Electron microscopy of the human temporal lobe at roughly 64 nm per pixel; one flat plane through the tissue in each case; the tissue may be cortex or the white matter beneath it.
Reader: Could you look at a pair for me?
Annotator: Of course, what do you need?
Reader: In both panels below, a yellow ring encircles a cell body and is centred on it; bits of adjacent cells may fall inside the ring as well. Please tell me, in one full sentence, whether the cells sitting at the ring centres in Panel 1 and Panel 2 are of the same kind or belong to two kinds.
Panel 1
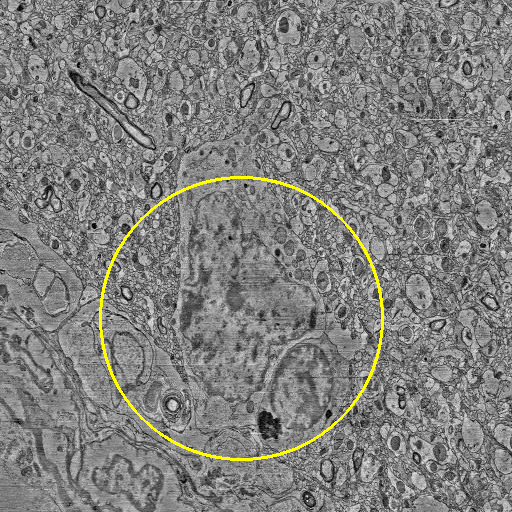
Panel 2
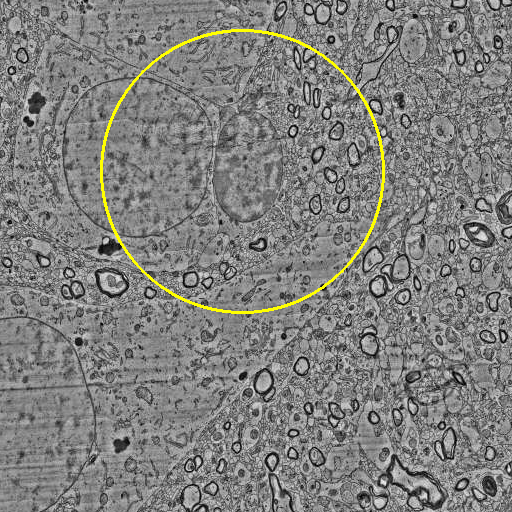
The cell at the ring's centre in Panel 1 and the one in Panel 2 belong to two kinds.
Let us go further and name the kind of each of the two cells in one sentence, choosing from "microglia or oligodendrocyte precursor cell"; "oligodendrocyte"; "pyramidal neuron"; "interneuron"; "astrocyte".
The ring of the first picture is on an interneuron, the ring of the second on an oligodendrocyte.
